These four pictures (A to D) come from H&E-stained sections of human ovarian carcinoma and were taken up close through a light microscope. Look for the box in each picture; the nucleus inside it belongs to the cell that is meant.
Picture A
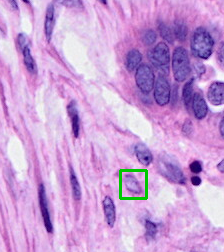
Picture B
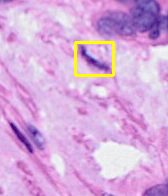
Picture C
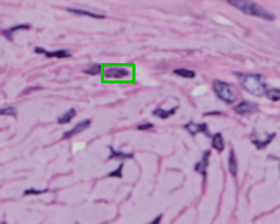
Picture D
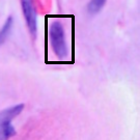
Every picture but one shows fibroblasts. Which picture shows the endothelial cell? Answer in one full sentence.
Picture D shows the endothelial cell.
